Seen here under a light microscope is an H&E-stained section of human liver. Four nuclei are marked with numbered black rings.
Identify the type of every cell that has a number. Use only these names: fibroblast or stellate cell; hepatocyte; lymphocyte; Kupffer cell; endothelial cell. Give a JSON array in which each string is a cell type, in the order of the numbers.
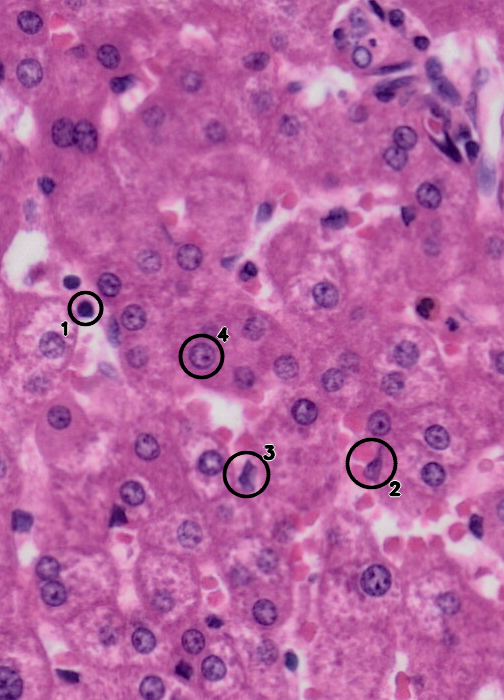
["lymphocyte", "endothelial cell", "endothelial cell", "hepatocyte"]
